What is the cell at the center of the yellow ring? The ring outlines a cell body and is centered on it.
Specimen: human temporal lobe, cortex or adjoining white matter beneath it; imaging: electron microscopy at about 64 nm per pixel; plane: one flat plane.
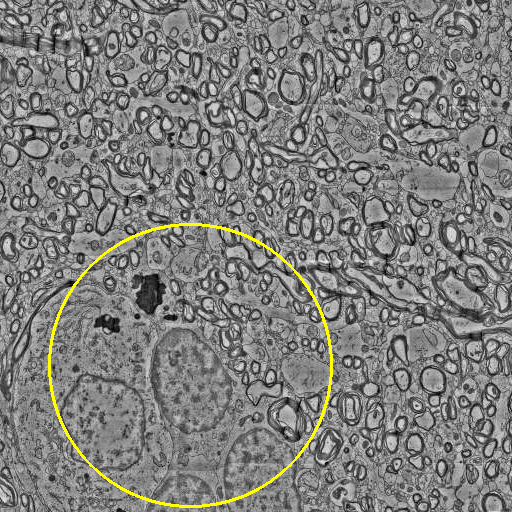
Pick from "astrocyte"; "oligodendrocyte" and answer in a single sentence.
The yellow ring is centered on an oligodendrocyte.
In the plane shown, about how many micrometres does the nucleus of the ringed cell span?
The nucleus works out at approximately 7 by 5 micrometres in this plane.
